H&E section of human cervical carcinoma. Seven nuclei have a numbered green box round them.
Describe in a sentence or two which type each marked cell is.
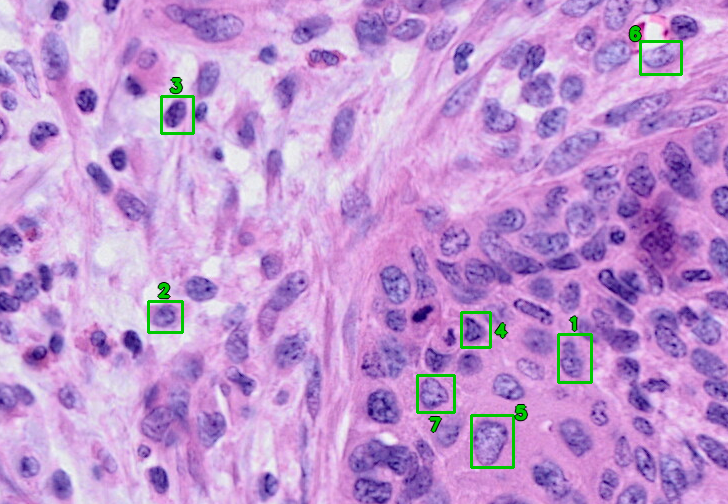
Cell 1 is a squamous carcinoma cell, cell 2 is a macrophage or monocyte, cell 3 is a lymphocyte, cell 4 is a squamous carcinoma cell, cell 5 is a squamous carcinoma cell, cell 6 is an endothelial cell and cell 7 is a squamous carcinoma cell.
